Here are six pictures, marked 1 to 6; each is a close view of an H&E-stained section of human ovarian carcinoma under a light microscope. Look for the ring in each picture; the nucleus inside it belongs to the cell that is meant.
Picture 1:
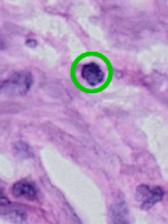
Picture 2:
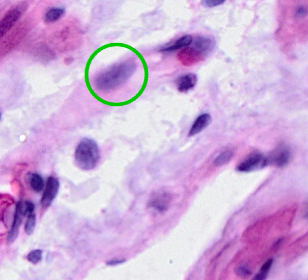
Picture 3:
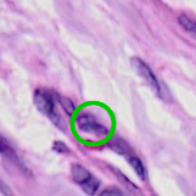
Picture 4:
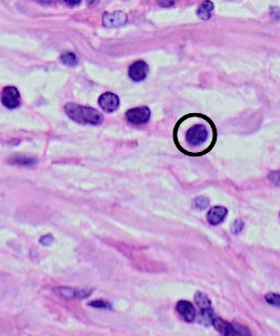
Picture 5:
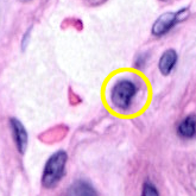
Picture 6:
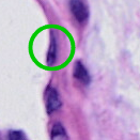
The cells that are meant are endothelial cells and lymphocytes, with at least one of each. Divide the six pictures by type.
1: lymphocyte
2: endothelial cell
3: endothelial cell
4: lymphocyte
5: endothelial cell
6: endothelial cell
